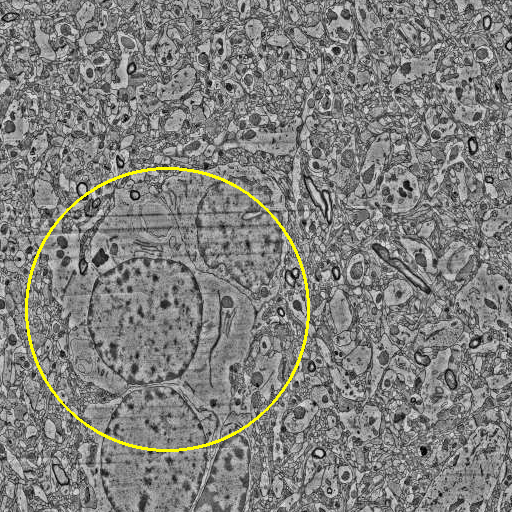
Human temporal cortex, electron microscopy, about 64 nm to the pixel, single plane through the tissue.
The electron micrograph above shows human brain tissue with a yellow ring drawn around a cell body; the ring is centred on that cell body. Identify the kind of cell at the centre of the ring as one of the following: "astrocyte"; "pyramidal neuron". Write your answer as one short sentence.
The cell at the centre of the ring is an astrocyte.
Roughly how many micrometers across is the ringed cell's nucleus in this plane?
About 8 micrometres across, as seen in this plane.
